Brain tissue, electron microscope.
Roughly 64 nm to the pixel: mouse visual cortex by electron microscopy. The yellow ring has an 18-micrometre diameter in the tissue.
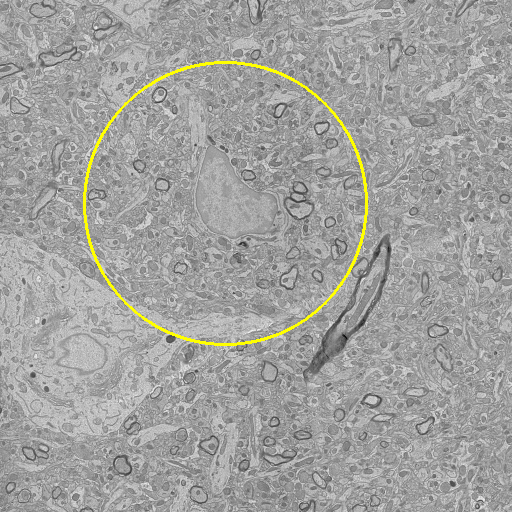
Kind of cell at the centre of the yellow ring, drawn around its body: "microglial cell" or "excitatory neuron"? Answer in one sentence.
The ring's centre falls on a microglial cell.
